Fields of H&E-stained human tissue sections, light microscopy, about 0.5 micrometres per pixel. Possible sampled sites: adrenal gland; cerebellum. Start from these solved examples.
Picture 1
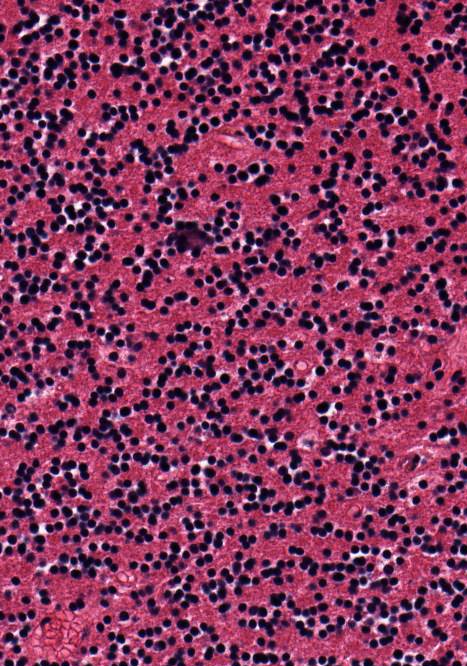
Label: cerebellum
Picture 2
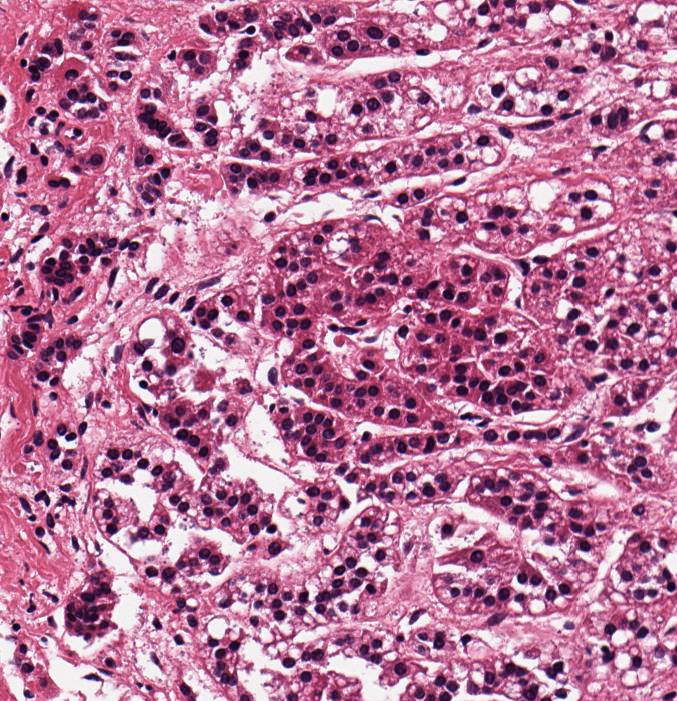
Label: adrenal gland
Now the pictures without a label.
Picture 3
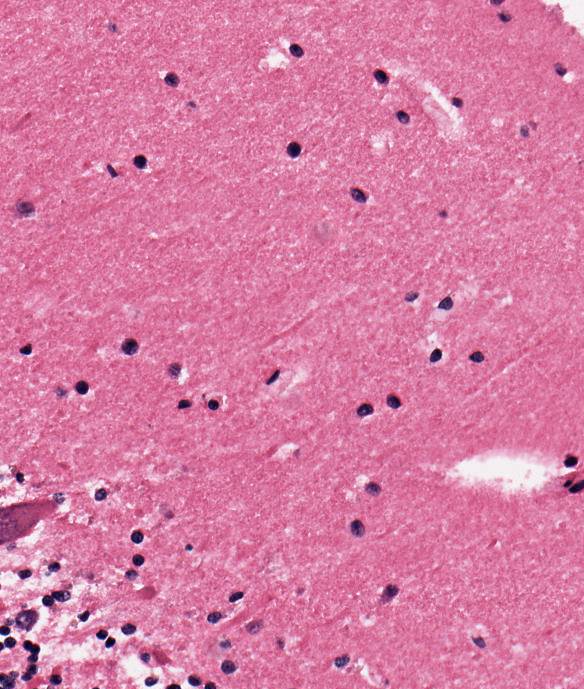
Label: cerebellum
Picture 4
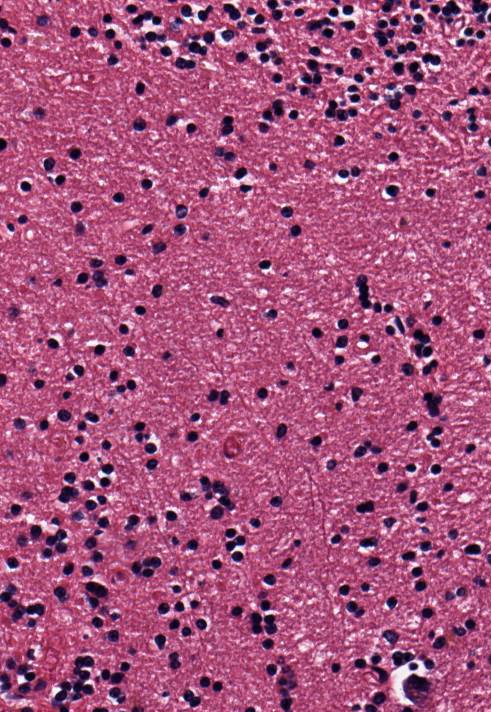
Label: cerebellum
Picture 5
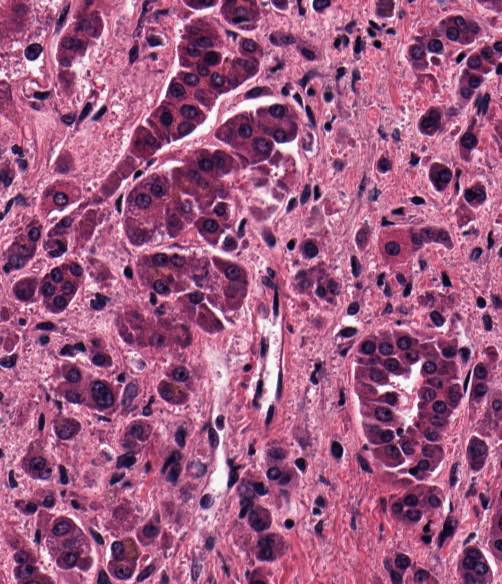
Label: adrenal gland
